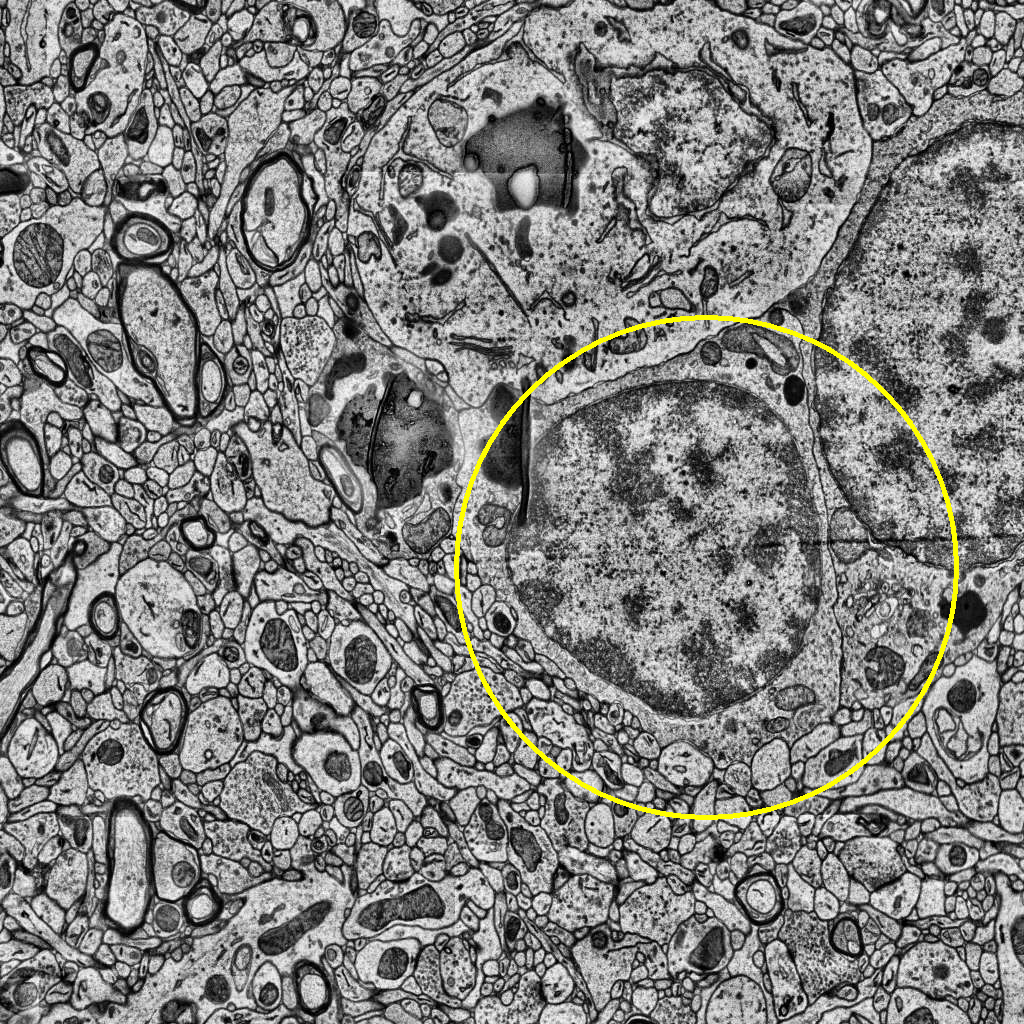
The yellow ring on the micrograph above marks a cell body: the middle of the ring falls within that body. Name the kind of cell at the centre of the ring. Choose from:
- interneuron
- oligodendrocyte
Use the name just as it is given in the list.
oligodendrocyte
